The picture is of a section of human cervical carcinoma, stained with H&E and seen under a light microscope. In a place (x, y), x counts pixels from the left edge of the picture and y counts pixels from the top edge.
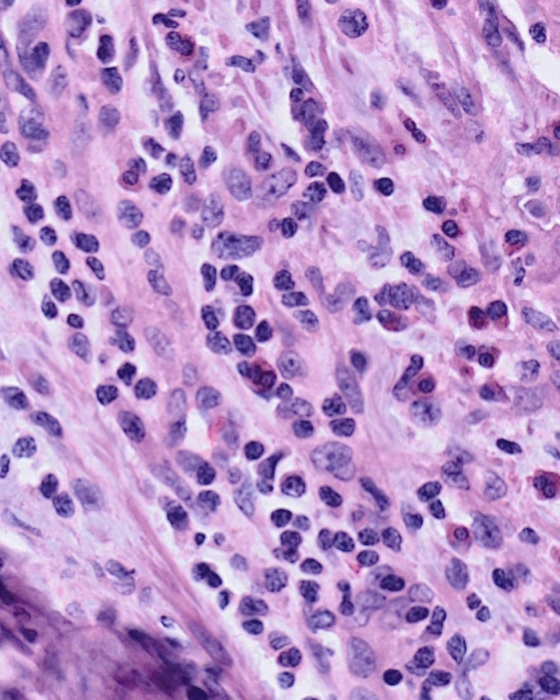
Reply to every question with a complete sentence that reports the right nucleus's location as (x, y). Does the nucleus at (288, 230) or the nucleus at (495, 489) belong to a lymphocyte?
The nucleus located at (288, 230) is the one held within a lymphocyte.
